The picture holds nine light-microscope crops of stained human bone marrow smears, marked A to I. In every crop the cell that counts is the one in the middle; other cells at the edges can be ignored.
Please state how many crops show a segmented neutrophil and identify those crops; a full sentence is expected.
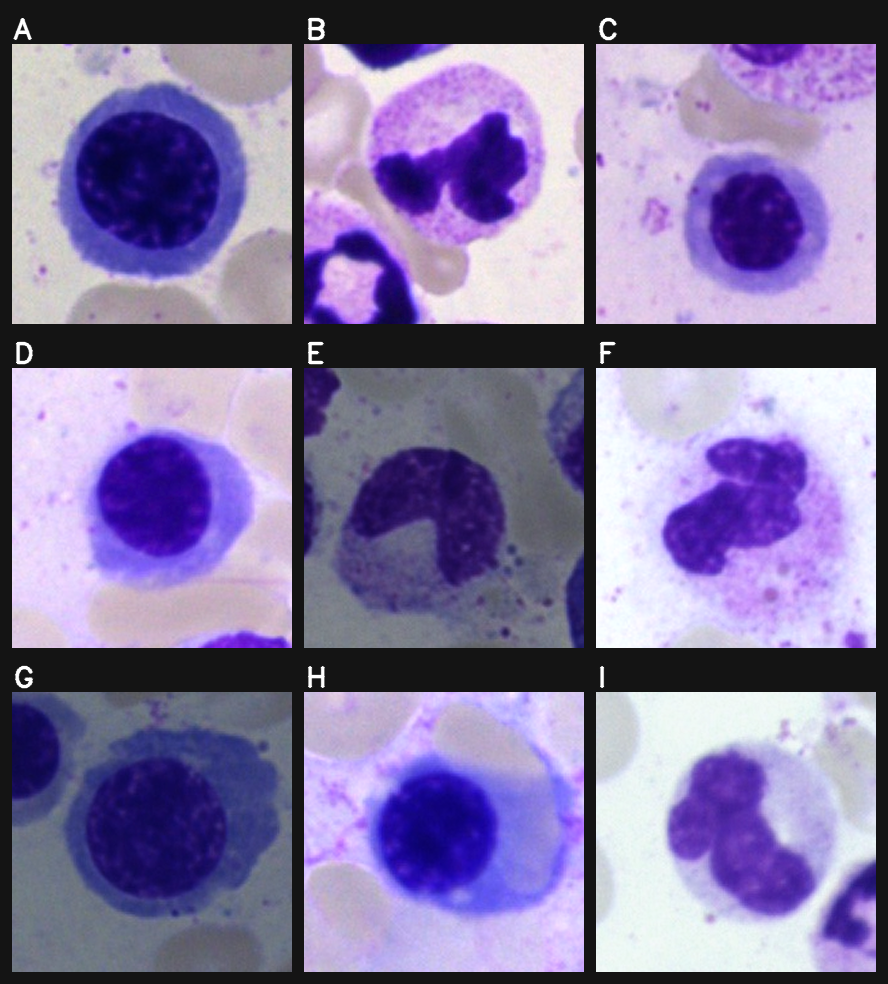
In short, two crops contain segmented neutrophils: B and F.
